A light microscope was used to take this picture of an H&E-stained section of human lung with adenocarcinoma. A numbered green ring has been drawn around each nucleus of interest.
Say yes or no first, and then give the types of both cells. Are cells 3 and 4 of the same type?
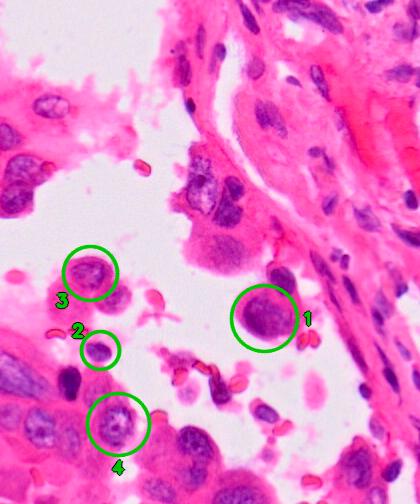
Yes, both cell 3 and cell 4 are classified as carcinoma cells.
